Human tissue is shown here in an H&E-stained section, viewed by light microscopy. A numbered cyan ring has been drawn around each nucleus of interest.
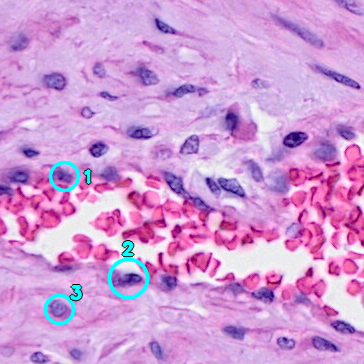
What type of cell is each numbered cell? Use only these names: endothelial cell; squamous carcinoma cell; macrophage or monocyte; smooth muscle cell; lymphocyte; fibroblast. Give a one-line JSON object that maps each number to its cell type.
{"1": "endothelial cell", "2": "endothelial cell", "3": "smooth muscle cell"}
